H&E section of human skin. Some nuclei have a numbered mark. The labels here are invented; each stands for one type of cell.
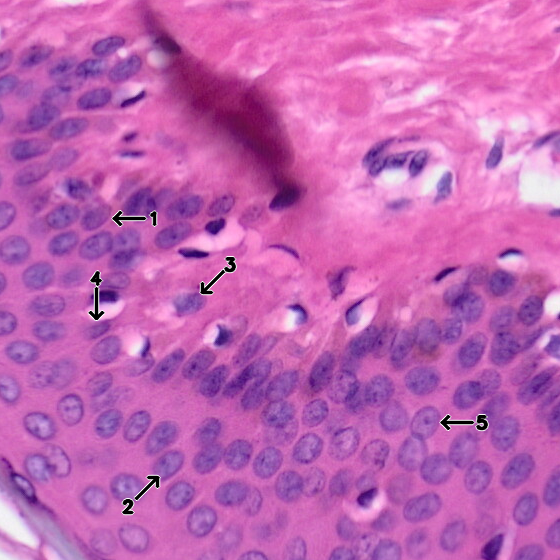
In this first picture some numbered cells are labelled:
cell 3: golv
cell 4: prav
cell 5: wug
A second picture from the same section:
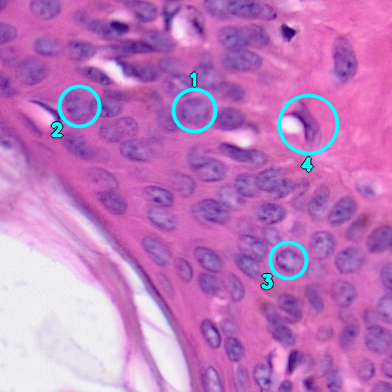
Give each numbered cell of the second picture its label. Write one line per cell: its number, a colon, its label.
1: wug
2: wug
3: wug
4: golv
